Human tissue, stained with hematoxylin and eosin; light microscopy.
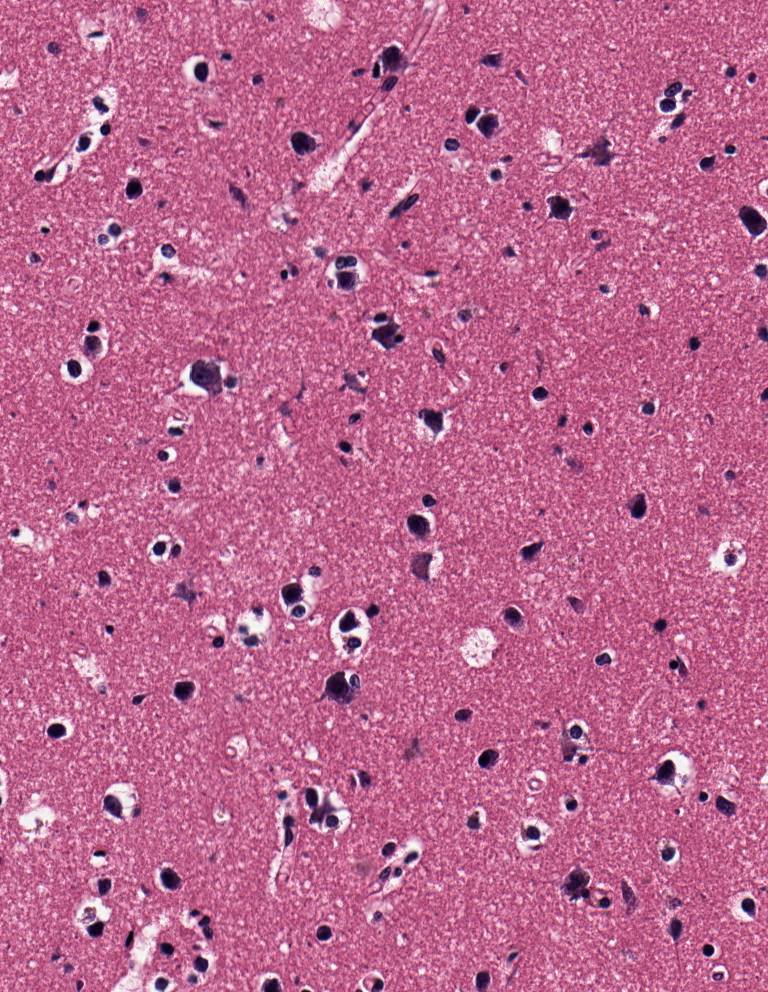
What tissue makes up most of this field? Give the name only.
cerebral cortex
